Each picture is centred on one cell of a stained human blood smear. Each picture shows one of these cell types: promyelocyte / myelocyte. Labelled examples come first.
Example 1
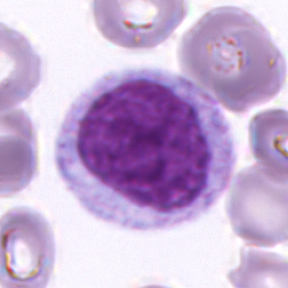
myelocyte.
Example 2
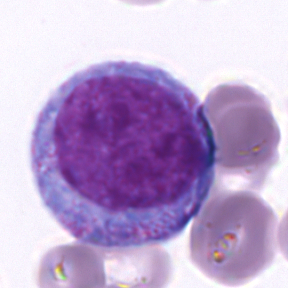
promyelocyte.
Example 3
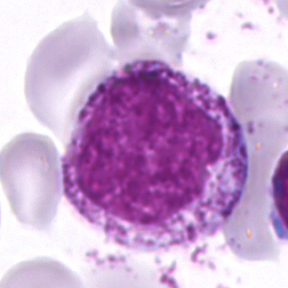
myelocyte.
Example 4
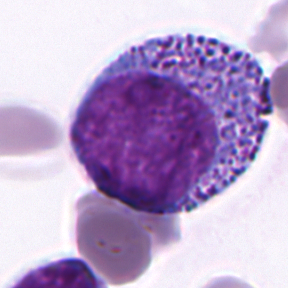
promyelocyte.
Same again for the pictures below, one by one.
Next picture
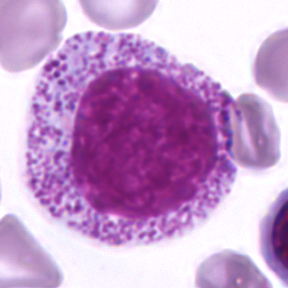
myelocyte.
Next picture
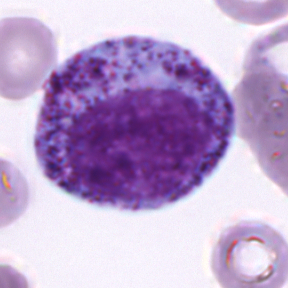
promyelocyte.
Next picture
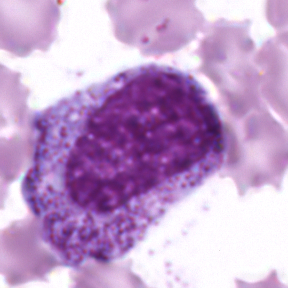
myelocyte.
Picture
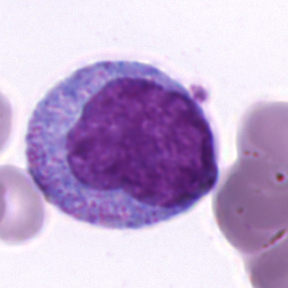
promyelocyte.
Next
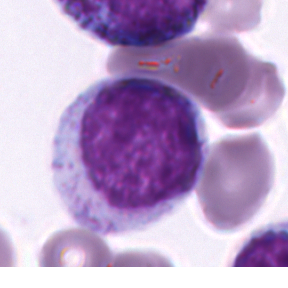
myelocyte.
